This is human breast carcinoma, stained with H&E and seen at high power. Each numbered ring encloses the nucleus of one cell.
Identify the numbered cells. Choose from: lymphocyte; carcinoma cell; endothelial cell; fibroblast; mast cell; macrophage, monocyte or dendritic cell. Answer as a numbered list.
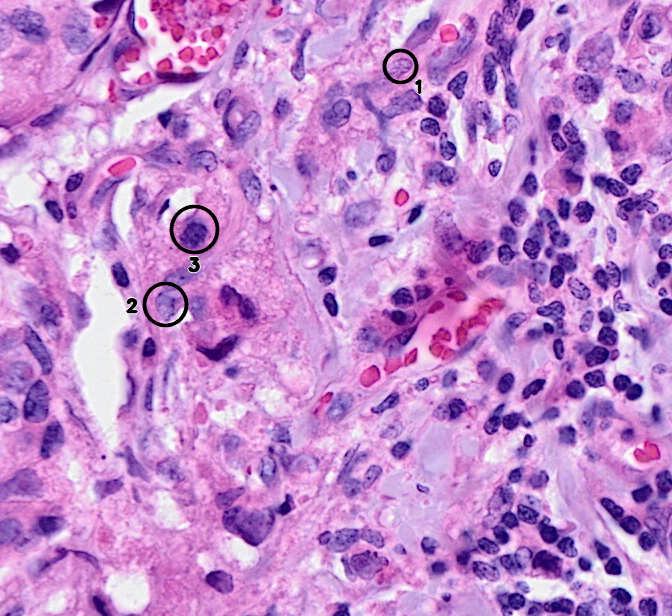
1. endothelial cell
2. endothelial cell
3. carcinoma cell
